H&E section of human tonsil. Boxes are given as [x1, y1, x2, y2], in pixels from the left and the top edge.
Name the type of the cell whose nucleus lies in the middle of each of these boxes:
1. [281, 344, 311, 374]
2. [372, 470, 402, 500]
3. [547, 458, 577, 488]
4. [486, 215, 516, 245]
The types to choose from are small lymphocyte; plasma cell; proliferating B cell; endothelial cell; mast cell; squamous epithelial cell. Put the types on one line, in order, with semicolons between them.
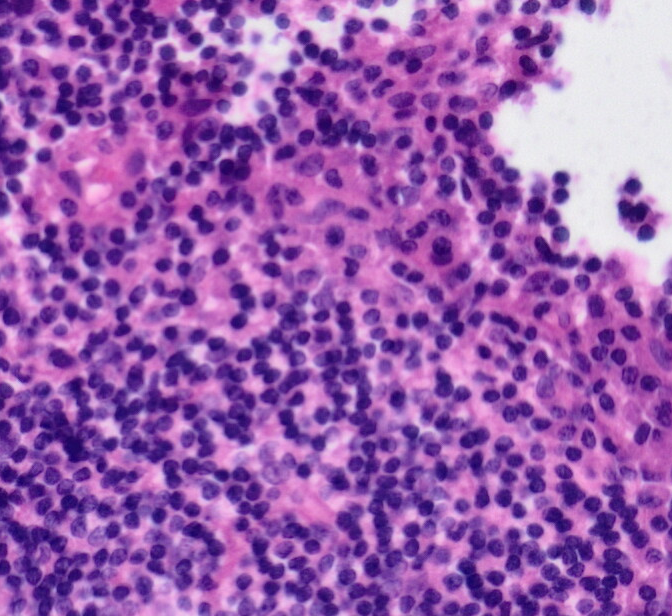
small lymphocyte; small lymphocyte; small lymphocyte; plasma cell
